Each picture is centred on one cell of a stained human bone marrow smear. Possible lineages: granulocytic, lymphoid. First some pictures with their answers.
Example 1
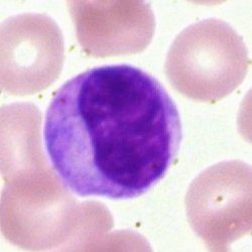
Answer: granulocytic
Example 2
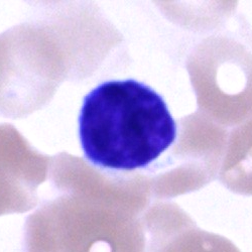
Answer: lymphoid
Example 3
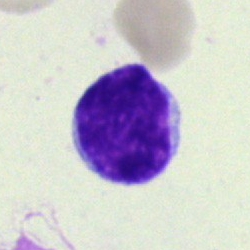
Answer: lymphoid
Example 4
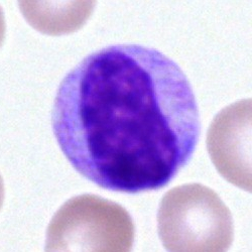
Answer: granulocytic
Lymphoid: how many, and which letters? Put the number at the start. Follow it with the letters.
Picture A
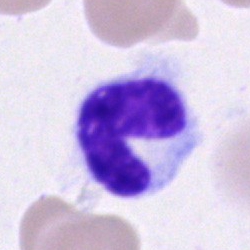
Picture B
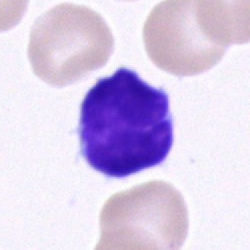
1: B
